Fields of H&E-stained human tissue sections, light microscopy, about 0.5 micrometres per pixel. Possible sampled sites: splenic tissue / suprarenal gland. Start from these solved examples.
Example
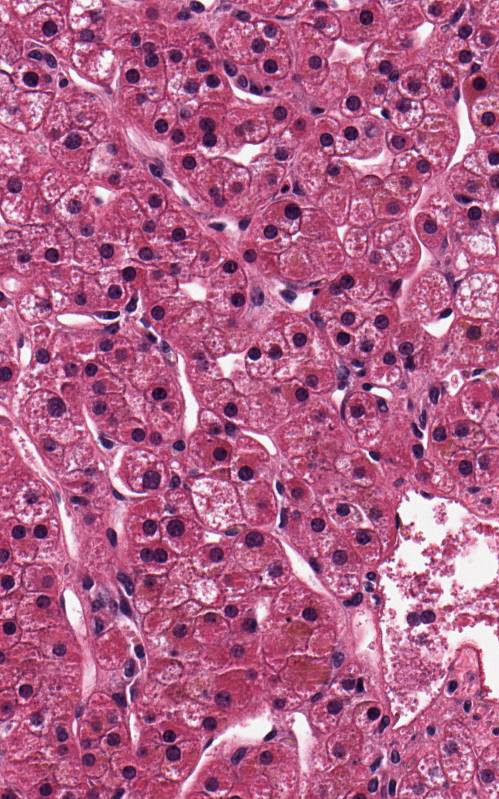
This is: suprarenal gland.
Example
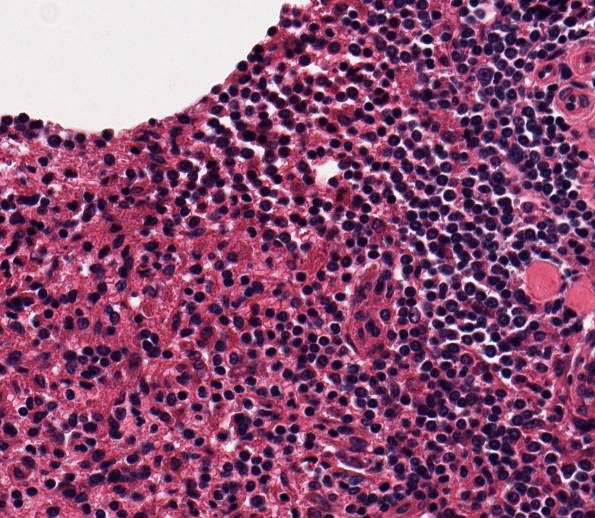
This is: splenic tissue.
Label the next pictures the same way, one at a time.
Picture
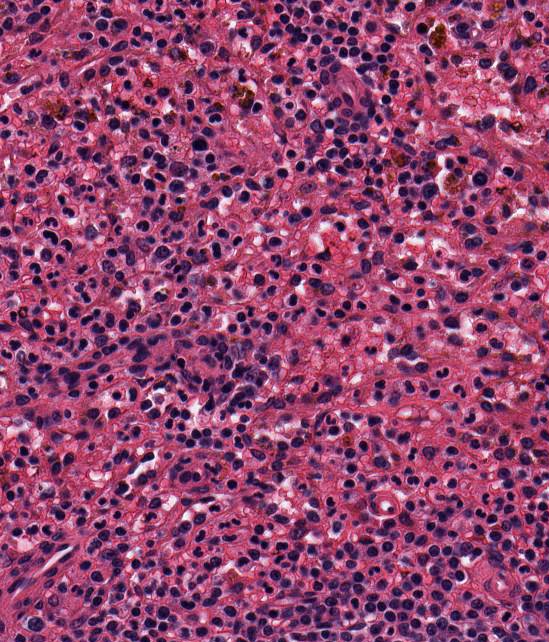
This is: splenic tissue.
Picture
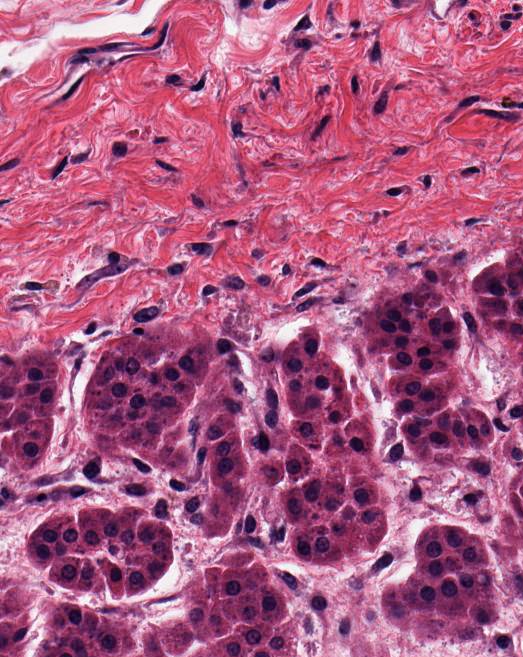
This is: suprarenal gland.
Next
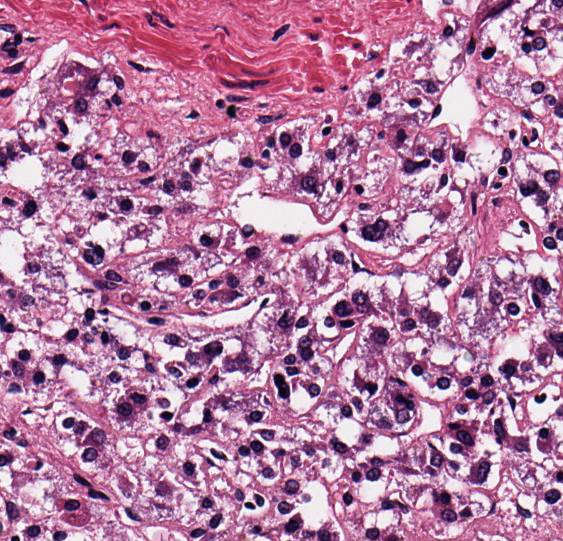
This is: suprarenal gland.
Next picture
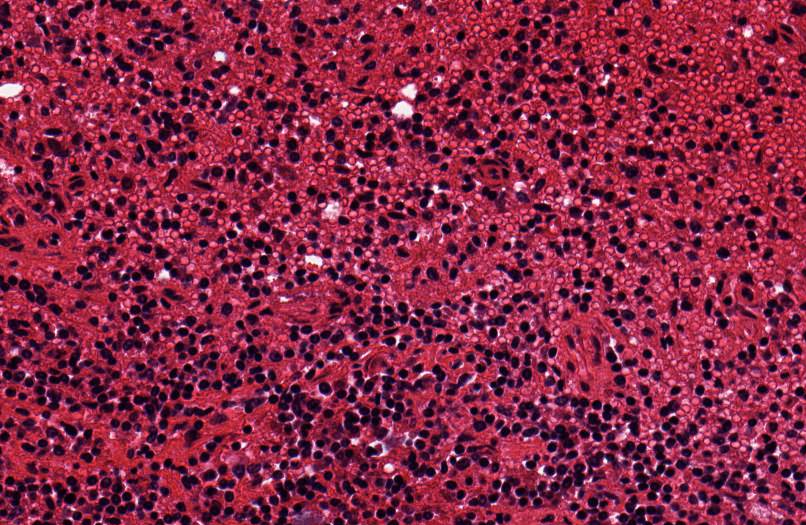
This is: splenic tissue.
